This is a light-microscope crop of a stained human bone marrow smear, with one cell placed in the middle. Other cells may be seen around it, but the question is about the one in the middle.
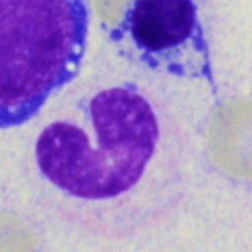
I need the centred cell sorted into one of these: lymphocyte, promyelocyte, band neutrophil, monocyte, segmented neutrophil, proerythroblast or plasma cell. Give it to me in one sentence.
Within this crop, a band neutrophil occupies the central position.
